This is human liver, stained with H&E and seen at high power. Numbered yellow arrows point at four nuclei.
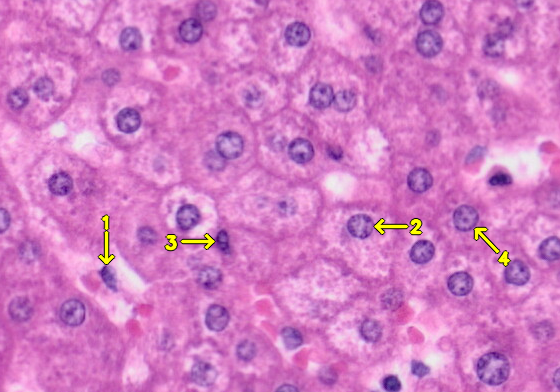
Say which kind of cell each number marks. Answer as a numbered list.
1. endothelial cell
2. hepatocyte
3. fibroblast or stellate cell
4. hepatocyte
